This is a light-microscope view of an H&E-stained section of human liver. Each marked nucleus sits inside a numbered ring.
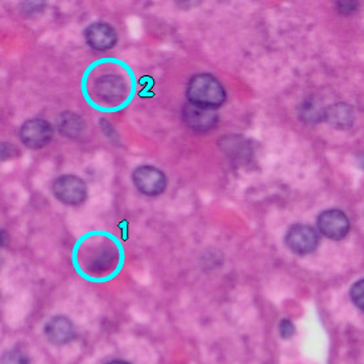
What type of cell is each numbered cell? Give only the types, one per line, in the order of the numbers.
endothelial cell
hepatocyte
